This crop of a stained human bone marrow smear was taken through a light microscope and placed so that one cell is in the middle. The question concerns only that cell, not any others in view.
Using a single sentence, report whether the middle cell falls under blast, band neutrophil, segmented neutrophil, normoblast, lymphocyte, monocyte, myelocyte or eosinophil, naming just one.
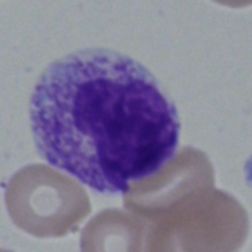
Within this crop, a myelocyte occupies the central position.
